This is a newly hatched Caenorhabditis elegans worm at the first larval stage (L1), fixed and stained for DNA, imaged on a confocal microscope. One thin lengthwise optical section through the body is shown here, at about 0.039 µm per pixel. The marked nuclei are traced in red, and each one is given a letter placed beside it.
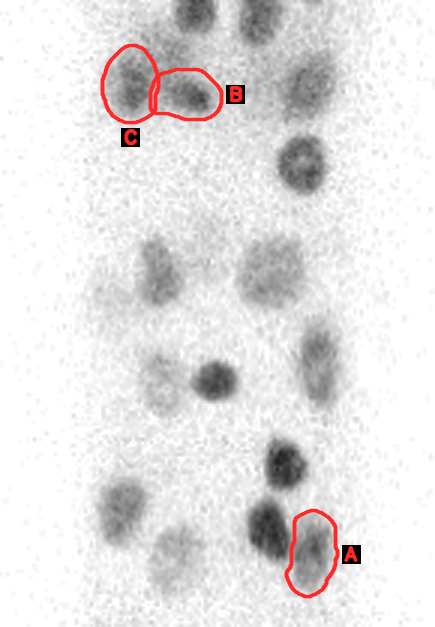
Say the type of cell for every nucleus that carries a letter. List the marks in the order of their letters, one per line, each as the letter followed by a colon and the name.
A: body wall muscle cell
B: valve cell of the gut
C: body wall muscle cell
